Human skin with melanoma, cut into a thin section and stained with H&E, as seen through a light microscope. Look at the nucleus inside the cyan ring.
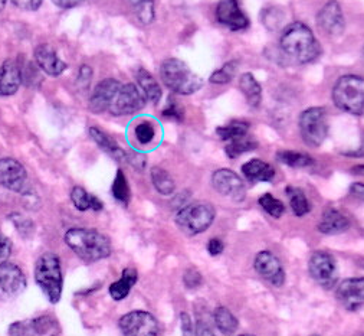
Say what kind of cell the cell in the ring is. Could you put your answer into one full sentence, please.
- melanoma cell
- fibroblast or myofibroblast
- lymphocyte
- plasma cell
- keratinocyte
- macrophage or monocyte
To be brief about it, the cell in the ring is a lymphocyte.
